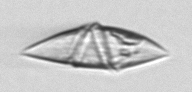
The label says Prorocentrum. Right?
Wrong: this is Gyrodinium.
